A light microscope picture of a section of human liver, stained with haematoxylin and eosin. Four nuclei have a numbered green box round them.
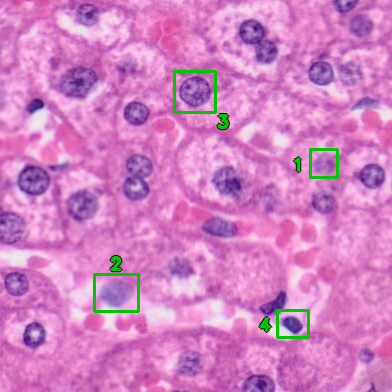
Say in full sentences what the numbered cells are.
Cell 1 is a hepatocyte, cell 2 is an endothelial cell, cell 3 is a hepatocyte and cell 4 is a lymphocyte.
